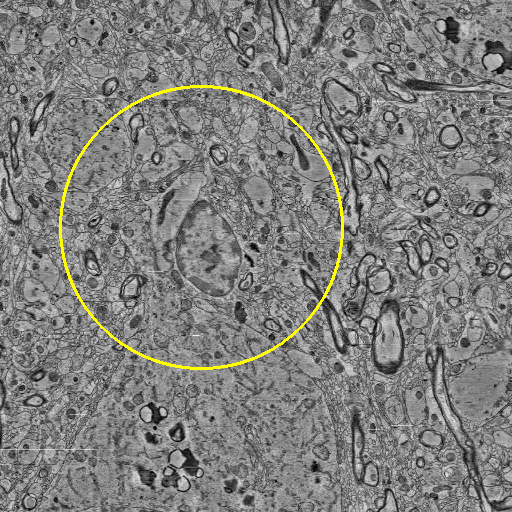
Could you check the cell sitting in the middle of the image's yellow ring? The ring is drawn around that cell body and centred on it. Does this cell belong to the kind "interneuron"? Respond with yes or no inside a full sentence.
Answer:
No, this cell in the middle of the yellow ring is one of a different kind.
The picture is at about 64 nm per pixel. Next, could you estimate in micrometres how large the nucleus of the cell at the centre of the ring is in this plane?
The nucleus comes to approximately 6 by 4 micrometres and is clearly longer than it is wide in this plane.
